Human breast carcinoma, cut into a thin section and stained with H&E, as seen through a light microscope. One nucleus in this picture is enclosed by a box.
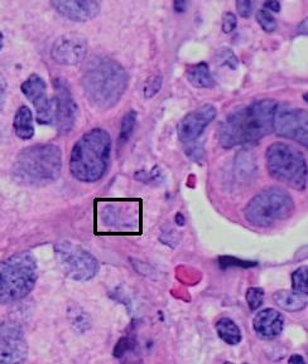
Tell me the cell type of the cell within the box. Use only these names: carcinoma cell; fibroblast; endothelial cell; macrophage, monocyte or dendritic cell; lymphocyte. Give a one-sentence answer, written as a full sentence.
Right, so the cell within the box is a macrophage, monocyte or dendritic cell, to answer that.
